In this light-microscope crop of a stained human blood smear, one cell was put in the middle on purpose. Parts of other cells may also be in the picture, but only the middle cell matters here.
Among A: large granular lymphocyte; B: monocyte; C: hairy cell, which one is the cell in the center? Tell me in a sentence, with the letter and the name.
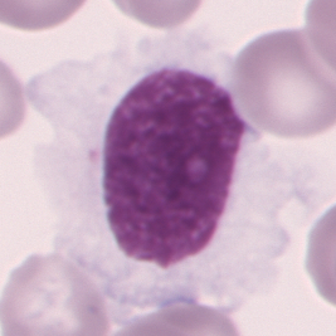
The correct option is C, as the central cell is a hairy cell.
